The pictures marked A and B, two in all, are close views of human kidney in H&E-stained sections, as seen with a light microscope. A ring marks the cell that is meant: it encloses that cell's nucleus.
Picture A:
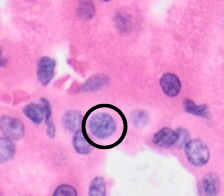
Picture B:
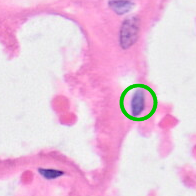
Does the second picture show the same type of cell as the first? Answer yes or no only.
no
